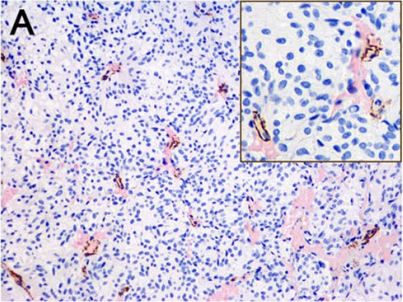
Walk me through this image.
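Tumor tissue made of densely packed cells with oval to slightly elongated blue nuclei and pale, poorly stained cytoplasm, arranged in sheets without obvious glandular pattern. Scattered through the sheets are thin, branching strands and small channels; these carry a dark brown stain along their walls, marking elongated cells of the small vessels and stroma. Irregular pink, acellular patches lie between groups of tumor cells. The tumor cells themselves remain largely unstained. The enlarged inset shows oval nuclei with fine chromatin and clear cytoplasm, next to a brown-lined elongated structure.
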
